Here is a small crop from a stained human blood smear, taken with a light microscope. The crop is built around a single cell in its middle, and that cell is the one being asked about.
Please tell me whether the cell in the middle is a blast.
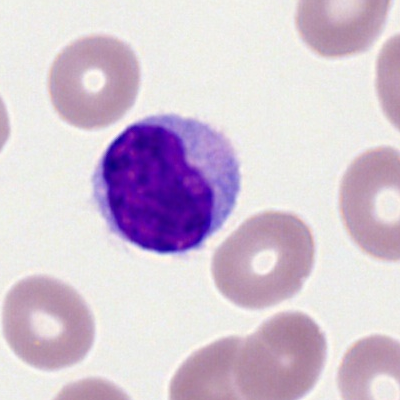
no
